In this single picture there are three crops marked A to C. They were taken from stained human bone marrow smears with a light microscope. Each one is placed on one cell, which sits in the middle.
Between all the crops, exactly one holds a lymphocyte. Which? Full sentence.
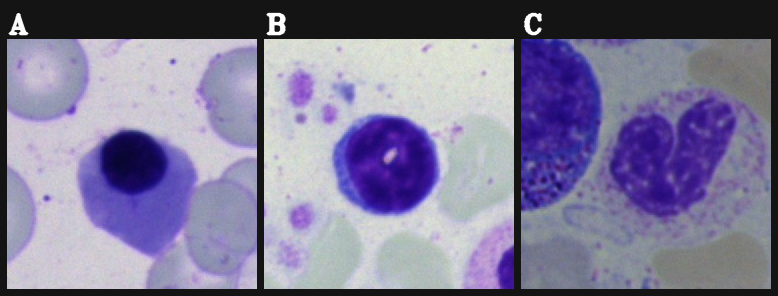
Crop B represents a lymphocyte, while the other crops do not.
